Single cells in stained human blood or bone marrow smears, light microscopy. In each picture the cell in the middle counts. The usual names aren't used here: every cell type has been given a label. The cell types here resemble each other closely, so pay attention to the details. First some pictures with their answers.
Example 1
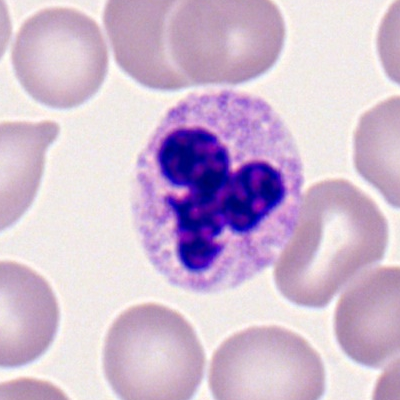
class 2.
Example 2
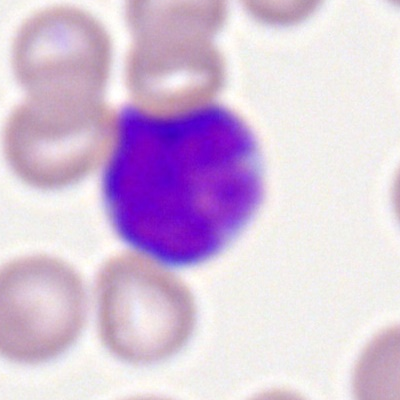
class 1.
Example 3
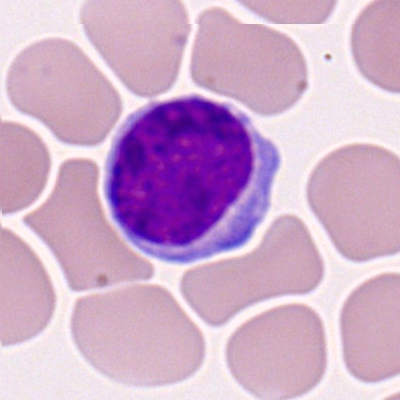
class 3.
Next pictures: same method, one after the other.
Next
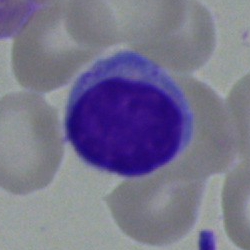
class 3.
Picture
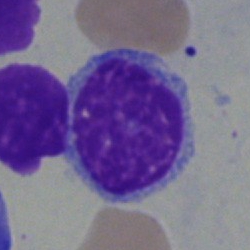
class 1.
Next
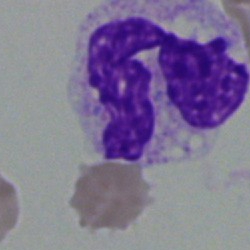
class 2.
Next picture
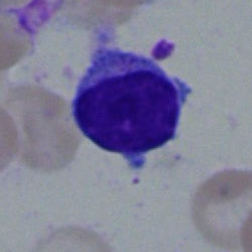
class 3.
